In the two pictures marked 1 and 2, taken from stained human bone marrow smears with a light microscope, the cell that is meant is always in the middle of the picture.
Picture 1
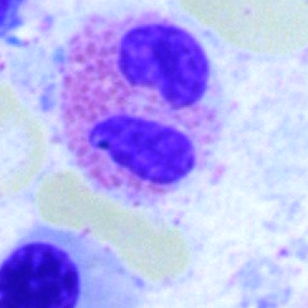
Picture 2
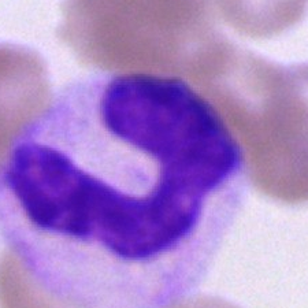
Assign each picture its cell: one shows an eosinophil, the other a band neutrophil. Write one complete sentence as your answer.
It is picture 1 that shows an eosinophil, and picture 2 that shows a band neutrophil.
